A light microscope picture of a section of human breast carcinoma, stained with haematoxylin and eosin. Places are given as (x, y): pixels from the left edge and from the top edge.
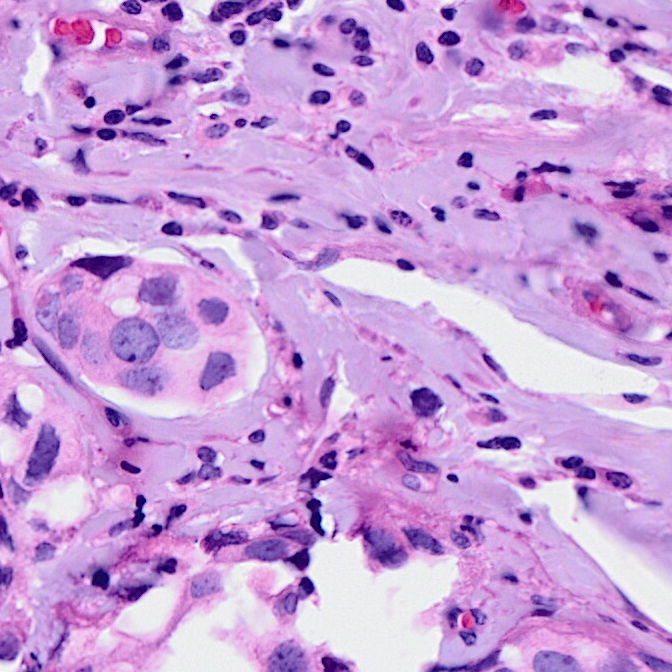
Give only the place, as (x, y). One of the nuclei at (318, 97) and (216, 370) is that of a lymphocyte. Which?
(318, 97)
